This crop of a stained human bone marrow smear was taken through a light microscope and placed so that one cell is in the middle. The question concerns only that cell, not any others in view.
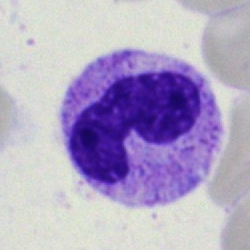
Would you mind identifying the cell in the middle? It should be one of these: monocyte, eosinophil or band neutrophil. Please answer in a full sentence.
This crop has a band neutrophil at its centre.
